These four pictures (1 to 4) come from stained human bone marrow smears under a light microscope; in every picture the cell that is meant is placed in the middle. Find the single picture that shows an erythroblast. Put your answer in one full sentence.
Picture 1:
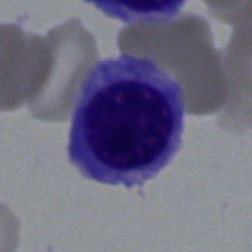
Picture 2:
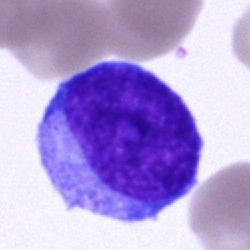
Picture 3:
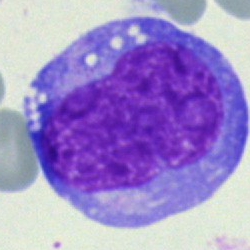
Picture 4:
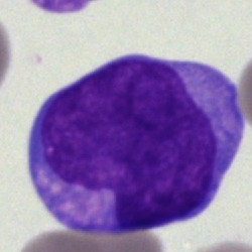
It is picture 1 that shows the erythroblast.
